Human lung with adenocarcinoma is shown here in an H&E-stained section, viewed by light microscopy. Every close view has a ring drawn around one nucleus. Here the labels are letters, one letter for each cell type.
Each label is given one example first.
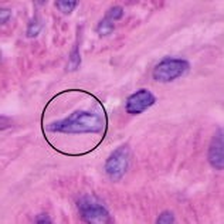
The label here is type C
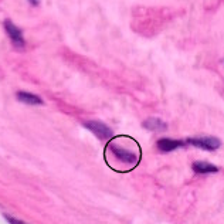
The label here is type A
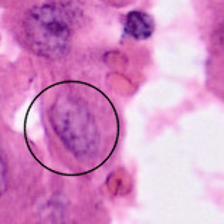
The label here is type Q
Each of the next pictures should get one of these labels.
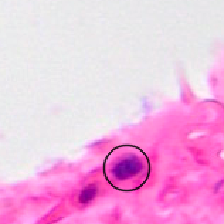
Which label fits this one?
type A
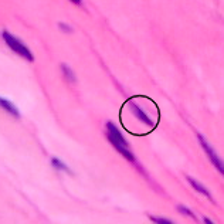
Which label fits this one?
type C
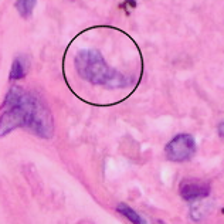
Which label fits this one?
type C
